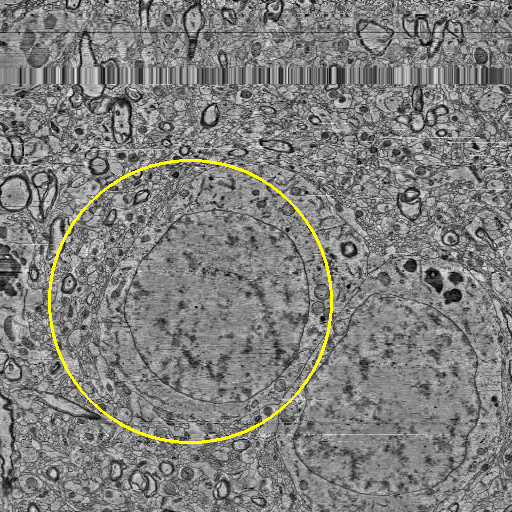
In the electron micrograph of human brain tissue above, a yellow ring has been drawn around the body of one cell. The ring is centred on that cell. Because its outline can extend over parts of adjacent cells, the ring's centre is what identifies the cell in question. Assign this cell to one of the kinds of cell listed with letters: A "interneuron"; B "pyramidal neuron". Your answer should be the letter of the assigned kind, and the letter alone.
B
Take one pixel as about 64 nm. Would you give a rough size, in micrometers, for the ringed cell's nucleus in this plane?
About 12 micrometres across in this plane, for the nucleus.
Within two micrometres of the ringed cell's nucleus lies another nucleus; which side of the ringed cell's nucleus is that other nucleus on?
The other nucleus is found to the lower right of it.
